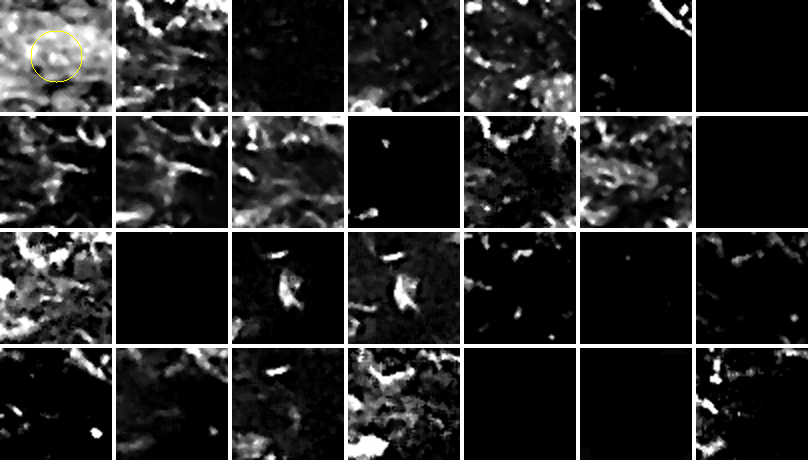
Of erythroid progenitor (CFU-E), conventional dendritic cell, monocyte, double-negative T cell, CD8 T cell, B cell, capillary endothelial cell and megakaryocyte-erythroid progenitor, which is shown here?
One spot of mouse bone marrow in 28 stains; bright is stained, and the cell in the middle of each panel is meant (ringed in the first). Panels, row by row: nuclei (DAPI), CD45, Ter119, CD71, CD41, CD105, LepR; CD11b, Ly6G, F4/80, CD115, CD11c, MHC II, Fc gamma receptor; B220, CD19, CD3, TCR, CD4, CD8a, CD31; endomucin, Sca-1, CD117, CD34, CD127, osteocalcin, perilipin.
double-negative T cell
